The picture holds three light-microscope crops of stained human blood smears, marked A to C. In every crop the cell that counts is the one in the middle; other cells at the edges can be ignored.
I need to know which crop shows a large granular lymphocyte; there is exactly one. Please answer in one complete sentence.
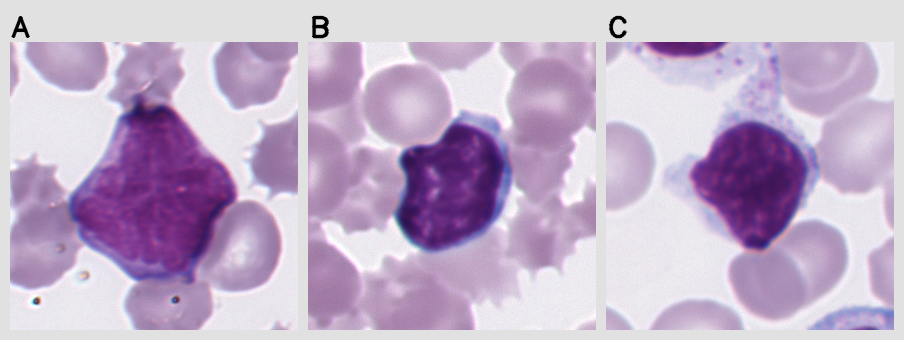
Only in crop C is a large granular lymphocyte shown.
